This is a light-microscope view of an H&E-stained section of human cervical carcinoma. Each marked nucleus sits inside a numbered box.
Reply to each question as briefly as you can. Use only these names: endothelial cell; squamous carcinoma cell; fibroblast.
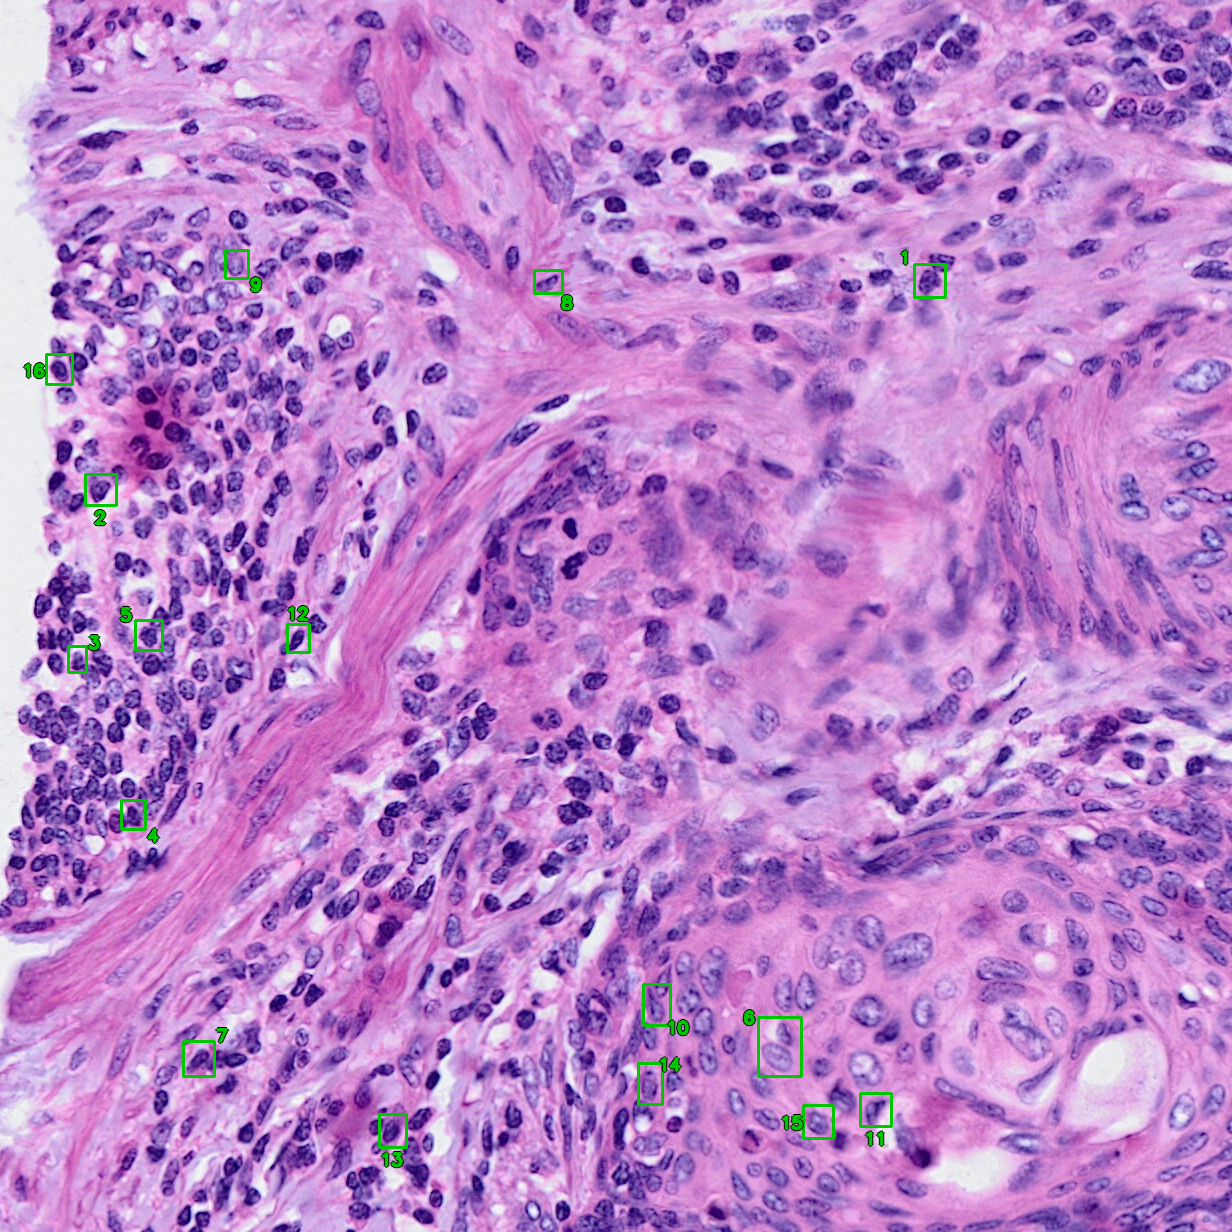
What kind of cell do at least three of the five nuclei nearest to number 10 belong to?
squamous carcinoma cell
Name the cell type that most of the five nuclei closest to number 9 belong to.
endothelial cell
